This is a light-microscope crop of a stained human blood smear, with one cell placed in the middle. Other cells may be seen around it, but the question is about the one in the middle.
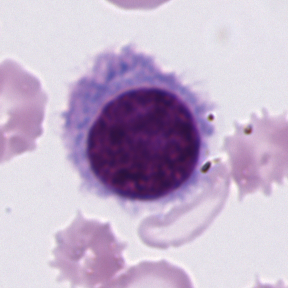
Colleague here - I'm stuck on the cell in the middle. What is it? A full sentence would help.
Centrally within this crop lies a hairy cell.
